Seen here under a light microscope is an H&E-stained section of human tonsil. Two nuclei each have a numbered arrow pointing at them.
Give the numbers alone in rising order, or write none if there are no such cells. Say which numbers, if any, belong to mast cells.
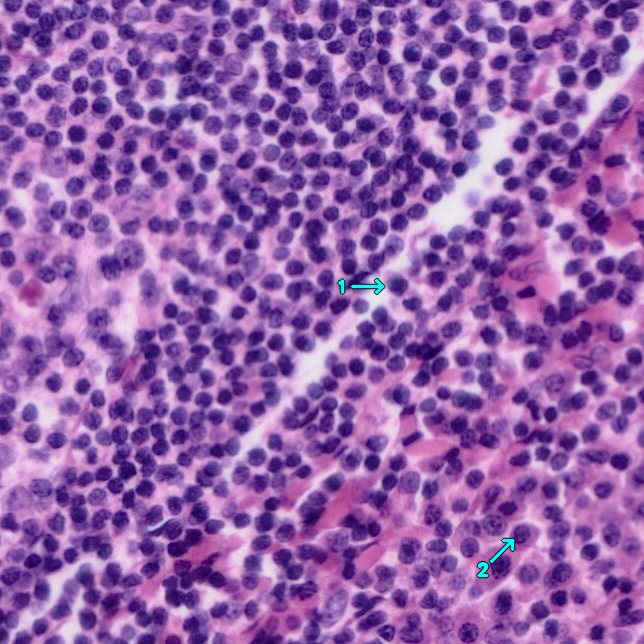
none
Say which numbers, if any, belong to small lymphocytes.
1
